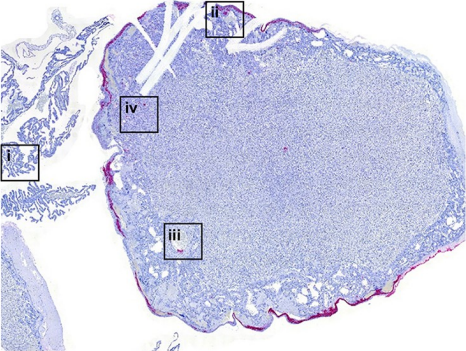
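At low magnification a large, roughly disc-shaped mass of densely packed tissue stains blue throughout, with a thin magenta rim along much of its outer edge and a few small magenta spots inside. To its left lie thin, branched, folded membranes that belong to the yolk sac, while the solid disc is the placenta itself.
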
